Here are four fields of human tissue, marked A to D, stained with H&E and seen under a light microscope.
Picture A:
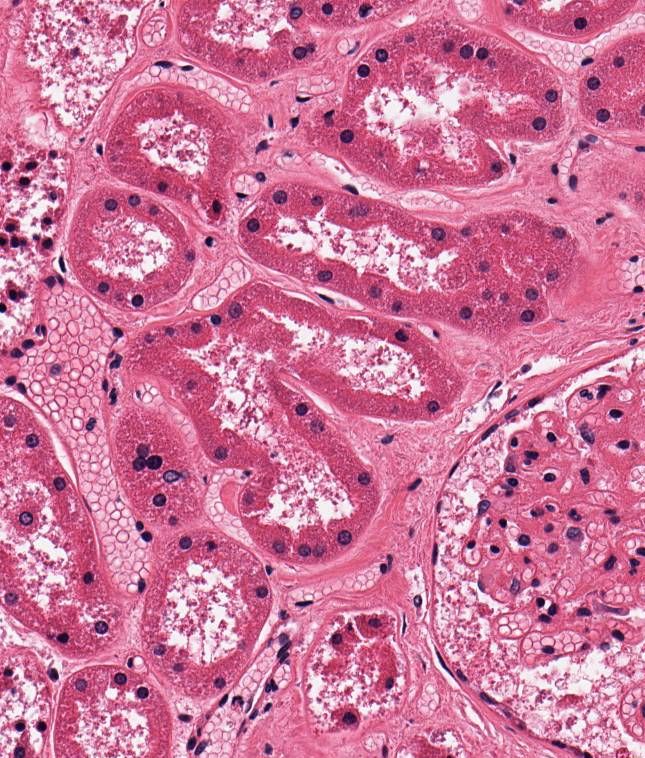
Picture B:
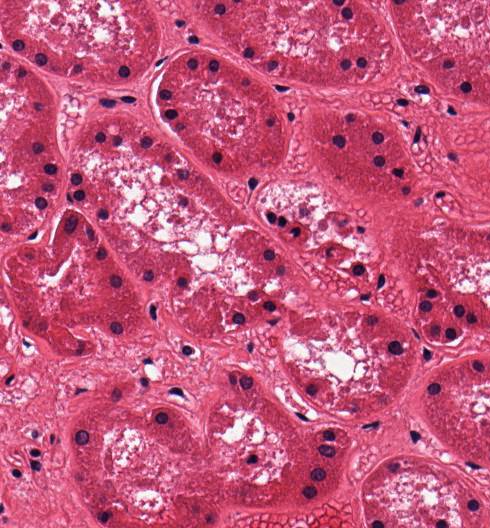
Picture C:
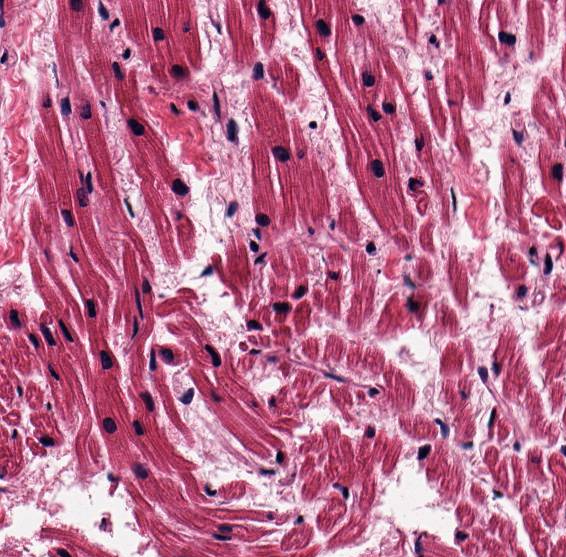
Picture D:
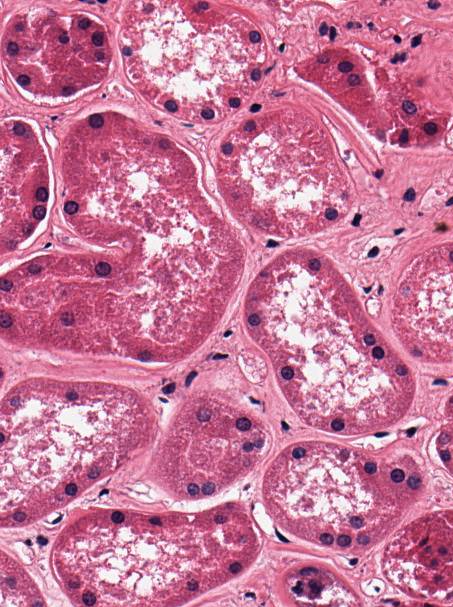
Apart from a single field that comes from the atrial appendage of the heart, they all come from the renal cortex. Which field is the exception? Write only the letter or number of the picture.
C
